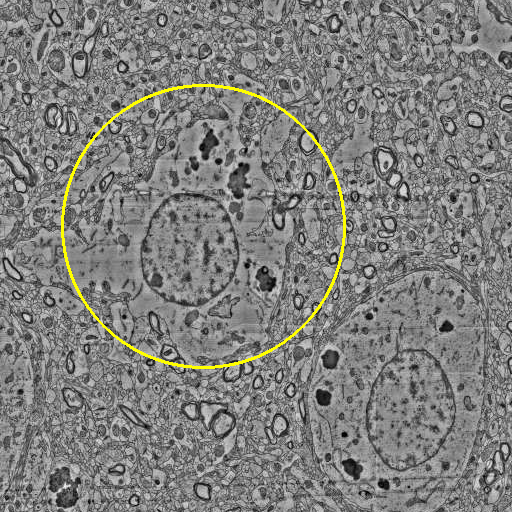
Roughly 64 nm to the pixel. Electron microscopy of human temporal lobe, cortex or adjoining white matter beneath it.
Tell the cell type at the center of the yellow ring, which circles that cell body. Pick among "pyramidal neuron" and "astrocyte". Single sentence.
The ring is centered on the body of an astrocyte.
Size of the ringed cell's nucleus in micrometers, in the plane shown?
The nucleus of the ringed cell is approximately 7 micrometres across in this plane.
